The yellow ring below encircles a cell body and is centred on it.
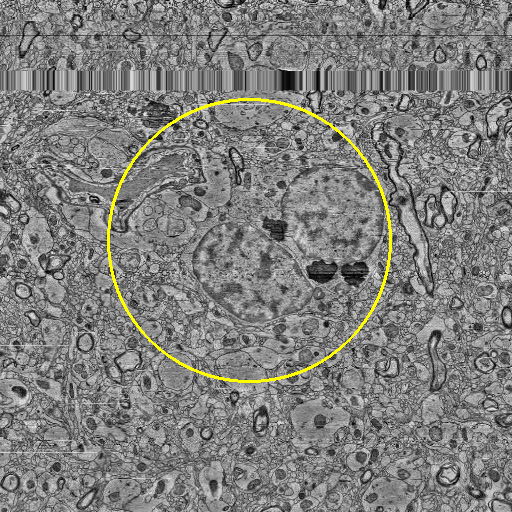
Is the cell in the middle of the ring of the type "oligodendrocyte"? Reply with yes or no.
yes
